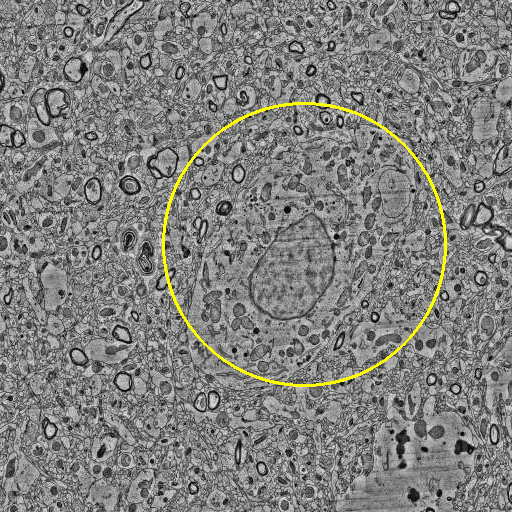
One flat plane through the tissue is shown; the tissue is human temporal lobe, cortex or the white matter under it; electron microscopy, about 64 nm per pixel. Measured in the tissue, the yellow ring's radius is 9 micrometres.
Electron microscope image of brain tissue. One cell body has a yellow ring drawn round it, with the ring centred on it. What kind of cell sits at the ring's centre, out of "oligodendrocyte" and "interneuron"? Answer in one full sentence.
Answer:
It is an interneuron whose cell body sits at the centre of the yellow ring.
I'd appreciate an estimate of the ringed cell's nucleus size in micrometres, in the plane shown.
About 7 by 5 micrometers, in this plane.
